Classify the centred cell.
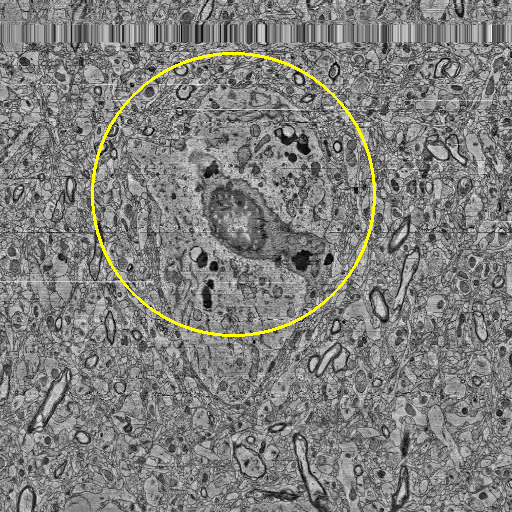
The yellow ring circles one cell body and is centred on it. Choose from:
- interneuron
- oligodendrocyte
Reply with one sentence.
The ring is centred on an oligodendrocyte.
